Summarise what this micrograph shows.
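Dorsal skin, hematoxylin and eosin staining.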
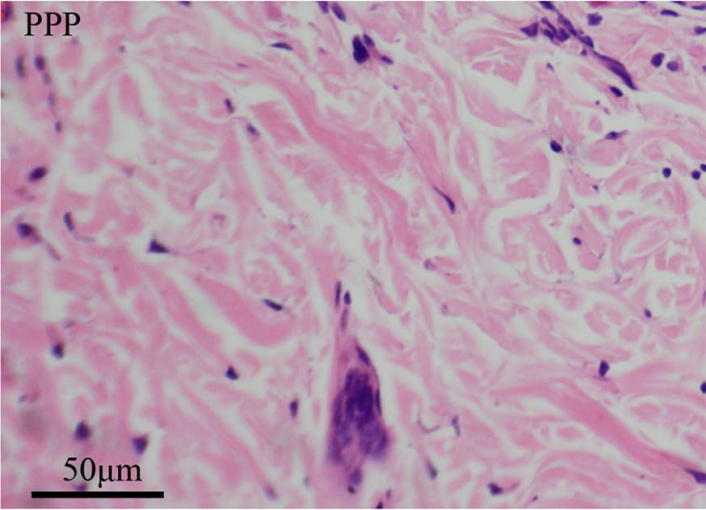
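The bundles run in different directions and are separated by narrow white clefts. Scattered among them are small, dark purple, elongated or spindle-shaped nuclei. Towards the upper right, a few nuclei are grouped more closely together.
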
